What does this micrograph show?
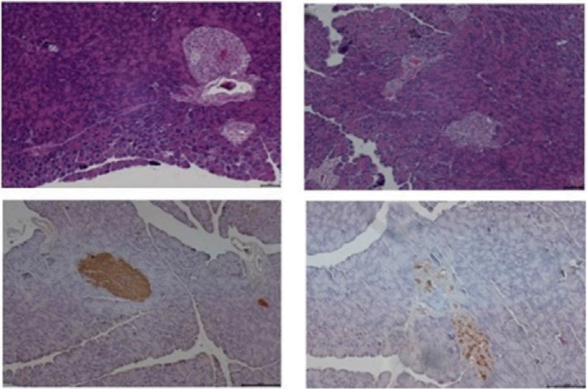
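These are sections of pancreas with endocrine islets lying among the exocrine tissue. In the upper pair, the surrounding tissue stains deep purple, and each islet stands out as a paler, roughly rounded island of cells. In the lower pair, the islet cells carry a brown stain, while the surrounding tissue is counterstained a pale blue-grey. On the left, the brown-stained islet is a compact oval with dense, even staining. On the right, the brown stain is weaker and patchier, and the islets look smaller and less sharply bounded.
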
